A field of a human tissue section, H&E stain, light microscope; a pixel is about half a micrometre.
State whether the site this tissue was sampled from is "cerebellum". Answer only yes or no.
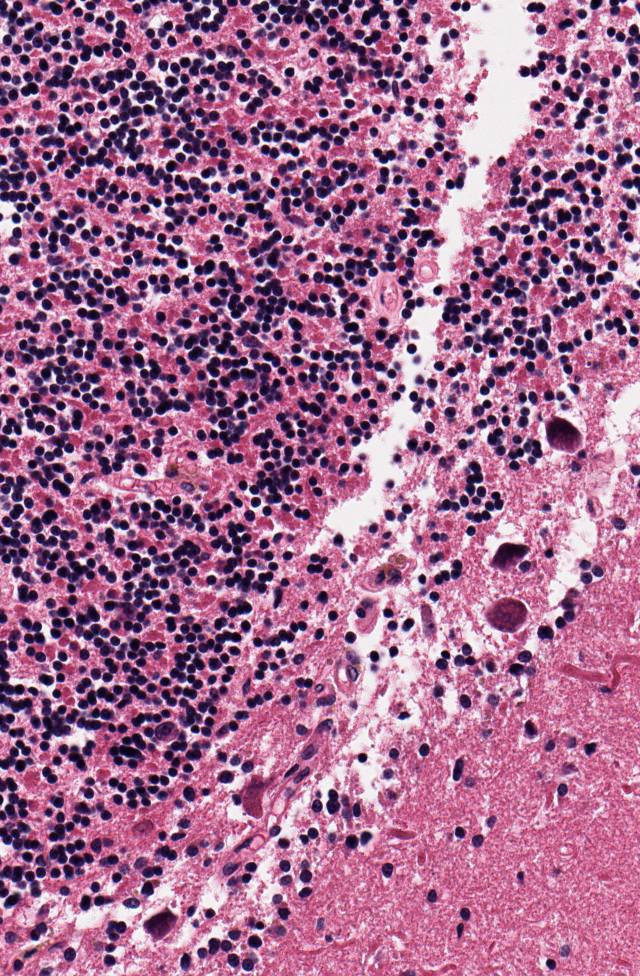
yes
